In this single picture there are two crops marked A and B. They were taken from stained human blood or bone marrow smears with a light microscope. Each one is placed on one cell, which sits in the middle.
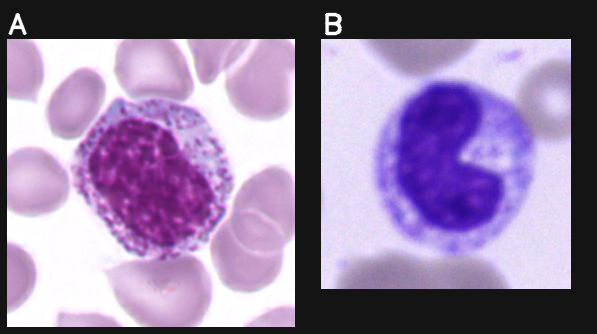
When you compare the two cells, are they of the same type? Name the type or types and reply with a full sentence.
Yes, both crops alike show metamyelocytes at the centre.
